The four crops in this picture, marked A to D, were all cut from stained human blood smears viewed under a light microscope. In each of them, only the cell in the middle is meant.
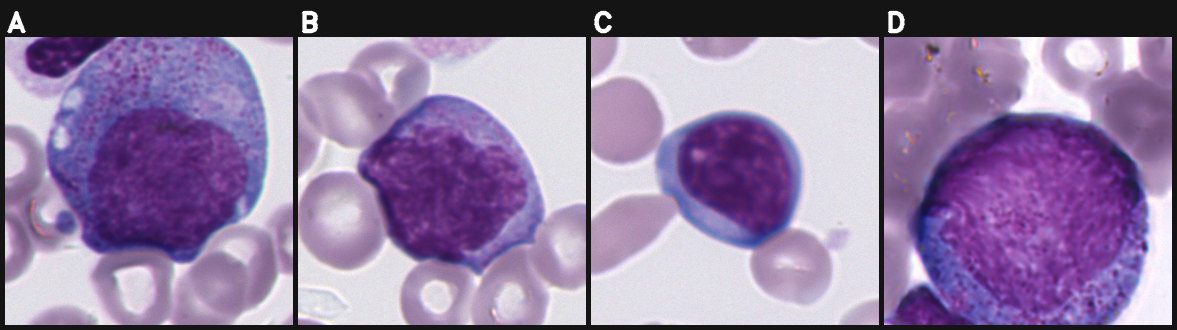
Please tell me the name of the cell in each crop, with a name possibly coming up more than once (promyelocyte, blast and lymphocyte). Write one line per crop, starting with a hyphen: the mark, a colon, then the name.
- A: promyelocyte
- B: promyelocyte
- C: lymphocyte
- D: promyelocyte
